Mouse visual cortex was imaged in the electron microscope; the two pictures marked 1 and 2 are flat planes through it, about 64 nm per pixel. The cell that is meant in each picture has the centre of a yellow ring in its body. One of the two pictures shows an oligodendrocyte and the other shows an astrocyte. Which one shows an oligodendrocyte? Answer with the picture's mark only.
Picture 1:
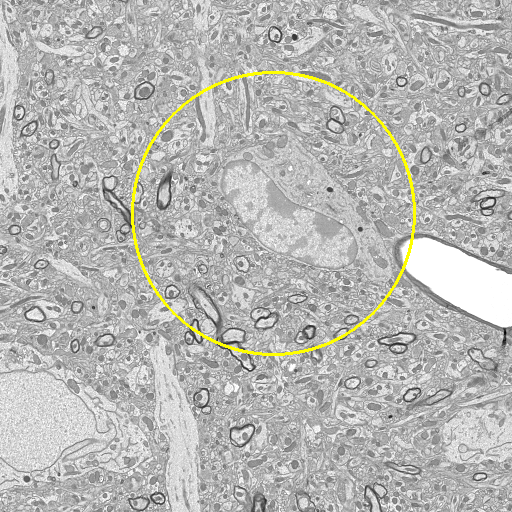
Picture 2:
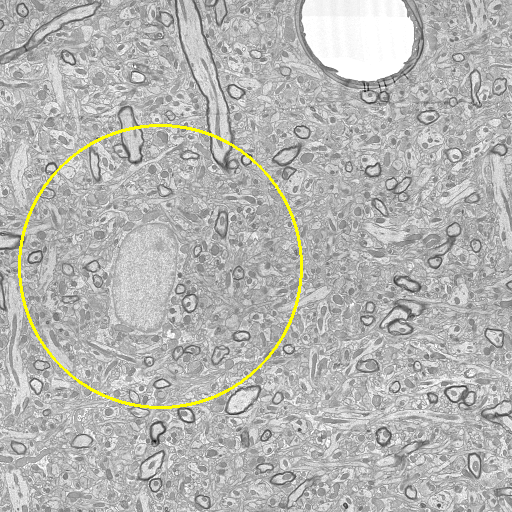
1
